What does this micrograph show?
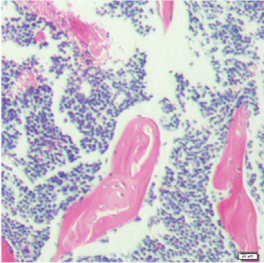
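Pink-stained trabeculae of bone lie within bone marrow made of densely packed small cells with dark blue-purple nuclei. Small flattened nuclei sit inside lacunae within the pink bone matrix. The marrow cells form irregular clusters separated by clear spaces.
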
